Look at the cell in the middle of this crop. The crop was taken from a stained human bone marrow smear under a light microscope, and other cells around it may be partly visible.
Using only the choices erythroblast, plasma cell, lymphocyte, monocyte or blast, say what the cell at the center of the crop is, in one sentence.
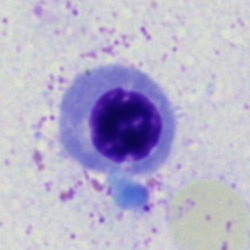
By type, the central cell of the crop is an erythroblast.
